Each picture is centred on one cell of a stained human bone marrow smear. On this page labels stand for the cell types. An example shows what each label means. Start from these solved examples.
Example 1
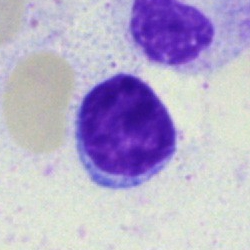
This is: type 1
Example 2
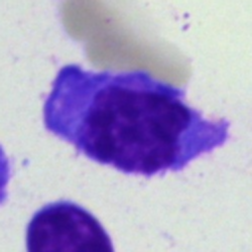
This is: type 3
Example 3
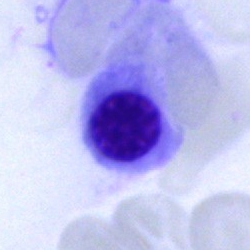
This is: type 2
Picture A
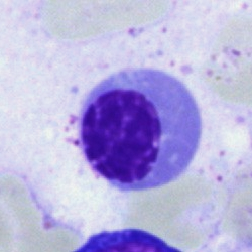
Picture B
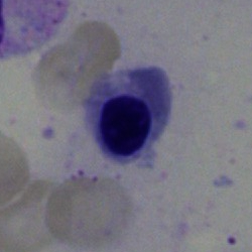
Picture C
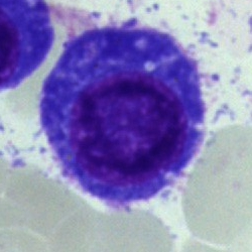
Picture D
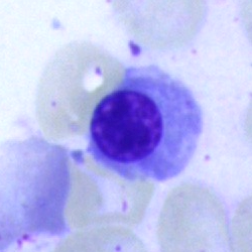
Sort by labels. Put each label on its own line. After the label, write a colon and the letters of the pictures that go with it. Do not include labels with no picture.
type 3: C
type 2: A, B, D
